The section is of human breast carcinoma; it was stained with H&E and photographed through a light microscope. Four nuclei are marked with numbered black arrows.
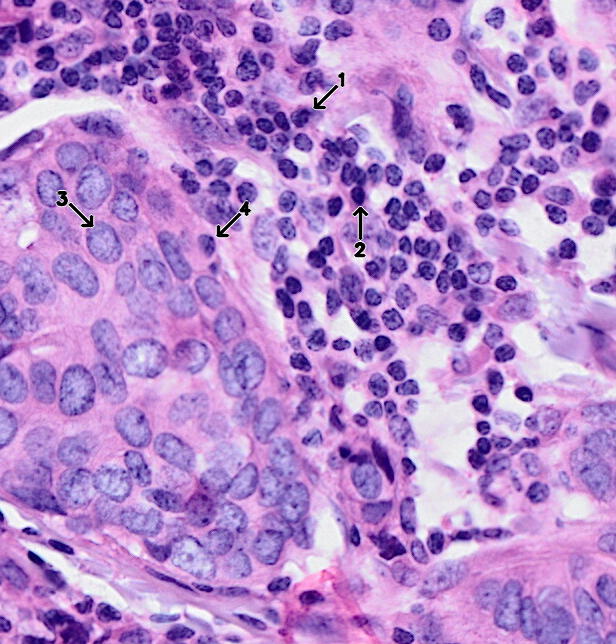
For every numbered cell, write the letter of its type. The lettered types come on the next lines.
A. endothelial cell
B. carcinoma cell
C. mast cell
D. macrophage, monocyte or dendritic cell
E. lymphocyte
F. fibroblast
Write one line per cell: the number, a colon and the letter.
1: E
2: E
3: B
4: E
